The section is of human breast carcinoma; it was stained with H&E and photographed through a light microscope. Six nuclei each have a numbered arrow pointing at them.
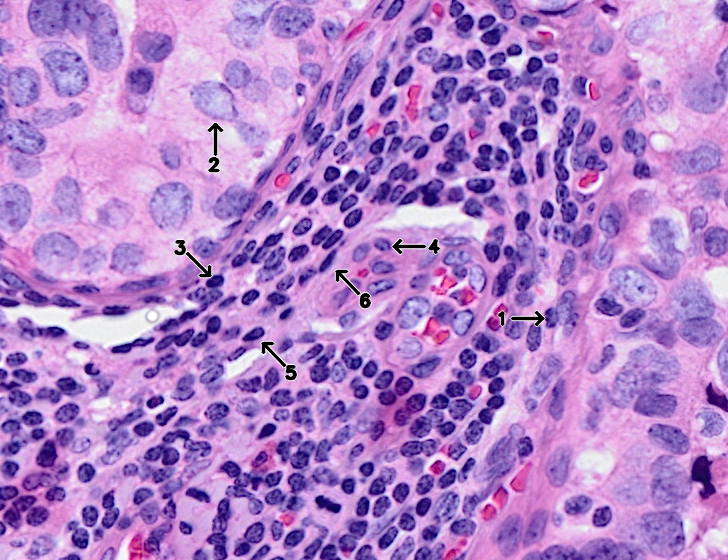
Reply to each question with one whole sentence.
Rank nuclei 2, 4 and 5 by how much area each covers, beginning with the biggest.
From largest to smallest, the order is 2, 5, 4.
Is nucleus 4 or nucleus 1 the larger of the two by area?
It is nucleus 1, which covers about 1.5 times the area of nucleus 4.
